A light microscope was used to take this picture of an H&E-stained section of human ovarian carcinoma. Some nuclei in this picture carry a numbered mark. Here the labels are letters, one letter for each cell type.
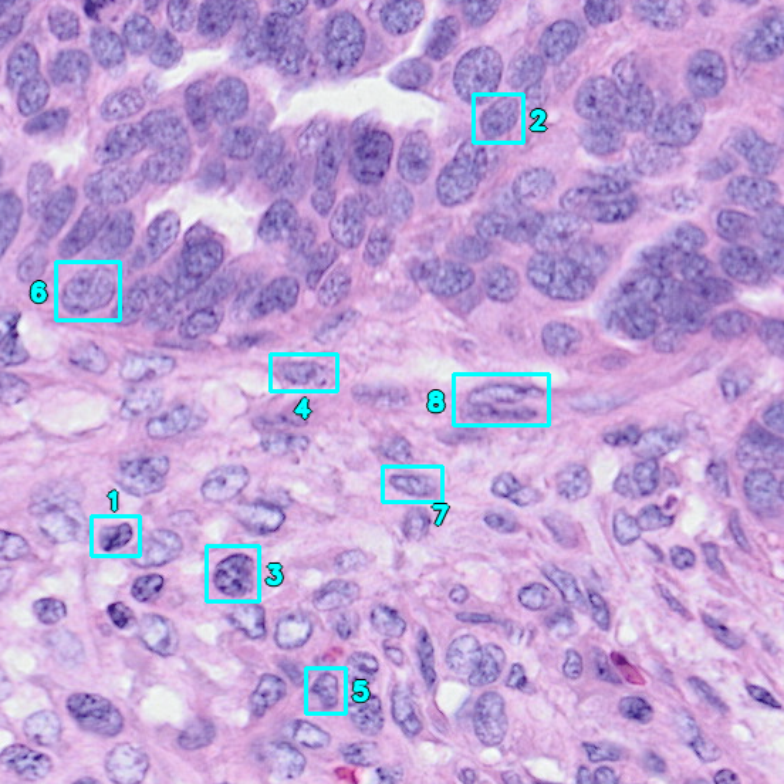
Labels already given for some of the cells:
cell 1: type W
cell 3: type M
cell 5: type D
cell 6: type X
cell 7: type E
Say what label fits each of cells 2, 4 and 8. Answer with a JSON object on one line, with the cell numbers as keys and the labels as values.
{"2": "type X", "4": "type E", "8": "type E"}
